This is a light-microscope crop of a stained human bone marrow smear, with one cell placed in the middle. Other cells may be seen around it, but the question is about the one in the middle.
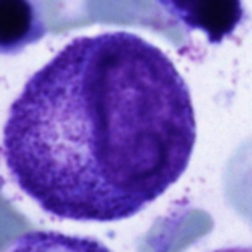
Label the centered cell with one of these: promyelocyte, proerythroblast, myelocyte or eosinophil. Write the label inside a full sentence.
For this crop, the cell in the middle is a myelocyte.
